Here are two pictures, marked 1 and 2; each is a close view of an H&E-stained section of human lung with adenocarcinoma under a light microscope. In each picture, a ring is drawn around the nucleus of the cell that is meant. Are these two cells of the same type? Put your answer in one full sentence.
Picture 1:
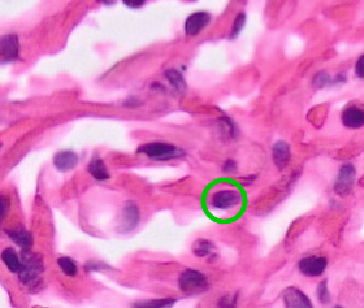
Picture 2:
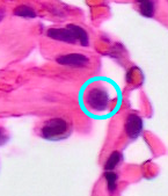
Yes, both cells are type I pneumocytes.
